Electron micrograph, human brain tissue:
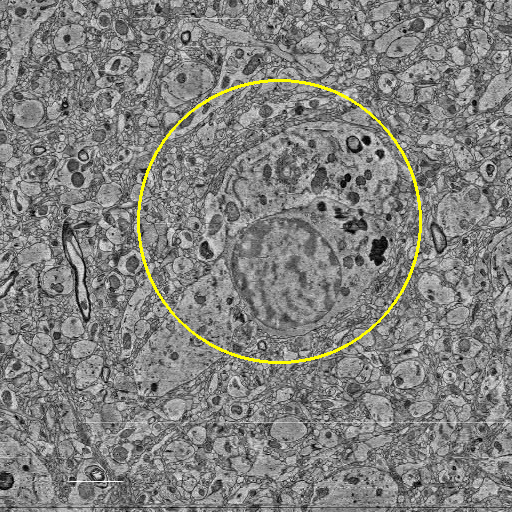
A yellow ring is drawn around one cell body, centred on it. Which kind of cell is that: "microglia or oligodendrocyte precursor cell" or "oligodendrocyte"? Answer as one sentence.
It is an oligodendrocyte at the centre of the ring.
